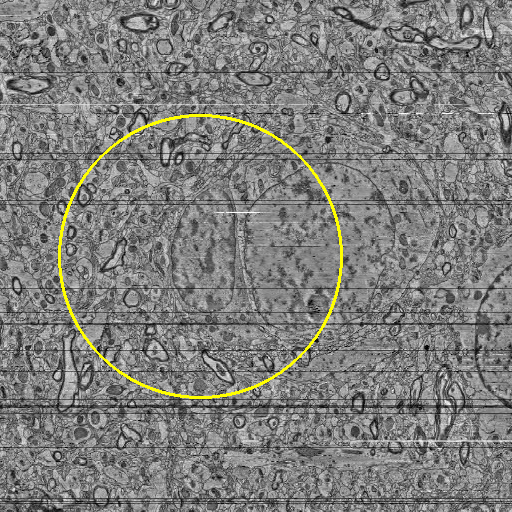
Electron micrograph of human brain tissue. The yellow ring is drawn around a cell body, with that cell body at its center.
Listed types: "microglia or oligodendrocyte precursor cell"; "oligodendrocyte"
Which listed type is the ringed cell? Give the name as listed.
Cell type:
oligodendrocyte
